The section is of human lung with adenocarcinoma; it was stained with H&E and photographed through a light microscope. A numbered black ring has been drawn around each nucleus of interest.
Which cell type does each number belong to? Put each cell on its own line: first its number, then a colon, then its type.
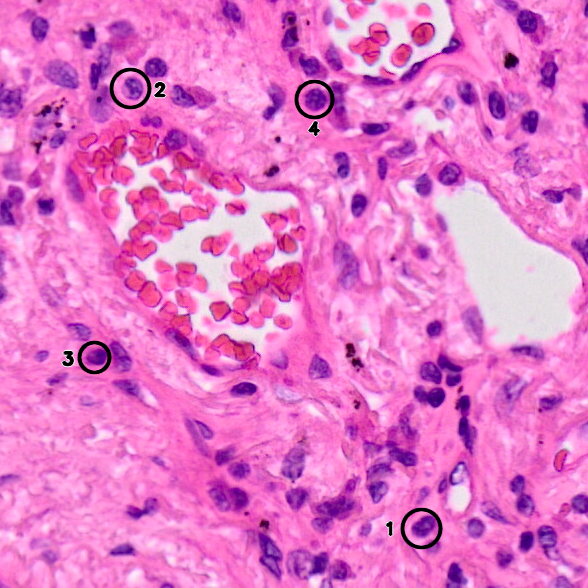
1: lymphocyte
2: lymphocyte
3: plasma cell
4: lymphocyte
